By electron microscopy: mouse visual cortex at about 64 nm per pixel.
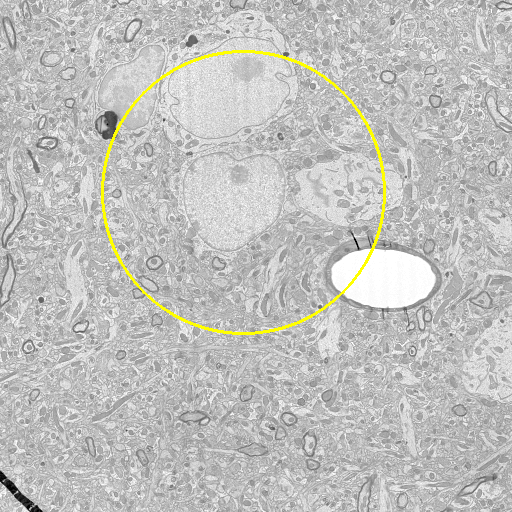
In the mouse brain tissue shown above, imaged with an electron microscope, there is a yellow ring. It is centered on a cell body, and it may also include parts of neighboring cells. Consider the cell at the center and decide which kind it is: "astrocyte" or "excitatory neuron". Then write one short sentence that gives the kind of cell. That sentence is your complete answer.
This centered cell body is that of an astrocyte.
